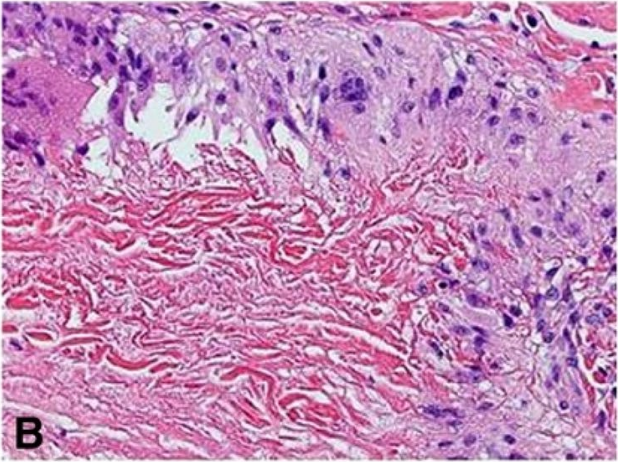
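A band of relatively intact, wavy pink collagen fibres runs across the middle of the field and is bordered by a foreign body giant cell reaction. Above and to the right of the fibres lie cells with oval to elongated nuclei and pale pink cytoplasm. Near the top centre a large cell holds a cluster of several nuclei within shared pale pink cytoplasm.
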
